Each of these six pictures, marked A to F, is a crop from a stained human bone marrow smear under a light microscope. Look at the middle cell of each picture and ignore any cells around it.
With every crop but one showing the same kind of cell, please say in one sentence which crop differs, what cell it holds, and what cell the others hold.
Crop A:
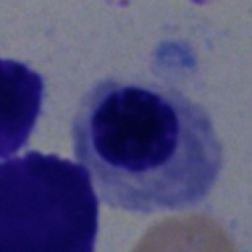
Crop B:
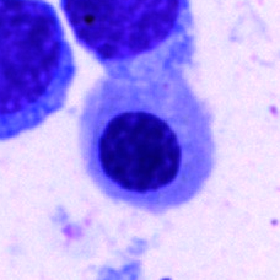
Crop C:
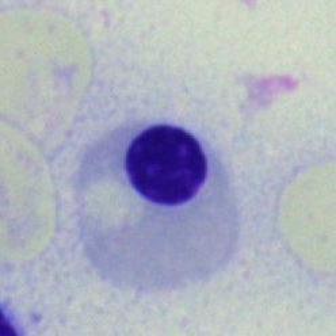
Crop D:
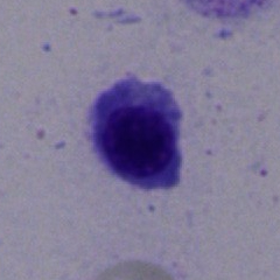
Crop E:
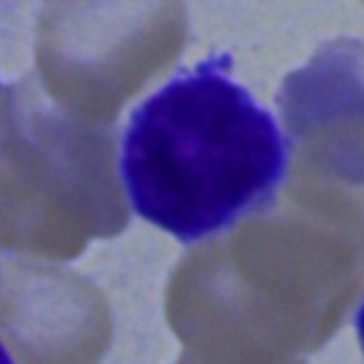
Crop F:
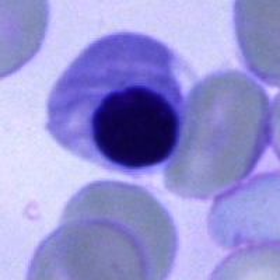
Apart from crop E, a lymphocyte, the crops all show normoblasts.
